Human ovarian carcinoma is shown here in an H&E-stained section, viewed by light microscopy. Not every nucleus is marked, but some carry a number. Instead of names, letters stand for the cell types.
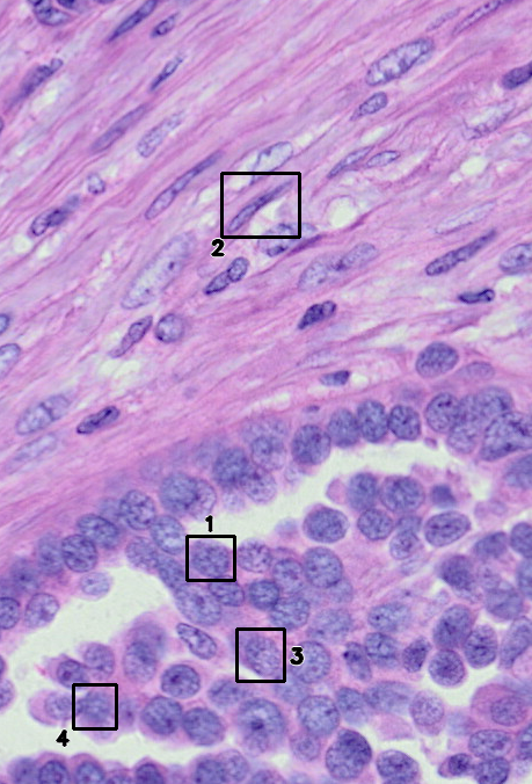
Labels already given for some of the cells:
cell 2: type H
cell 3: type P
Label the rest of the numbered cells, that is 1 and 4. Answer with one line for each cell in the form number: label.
1: type P
4: type P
